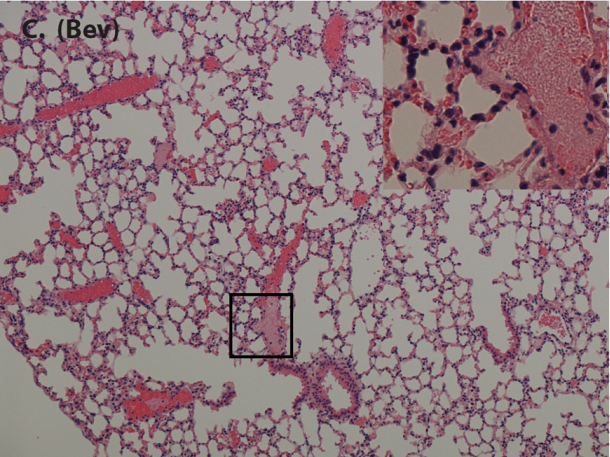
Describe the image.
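This is lung parenchyma with a network of thin pink septa bearing purple nuclei around open air spaces, crossed by several elongated blood vessels and an airway-like tube lined by a thicker cellular wall. Most vessels contain red material. The enlarged inset shows a vessel filled with pale pink, finely mottled material rather than distinctly packed red cells, next to septa with dark purple nuclei.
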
